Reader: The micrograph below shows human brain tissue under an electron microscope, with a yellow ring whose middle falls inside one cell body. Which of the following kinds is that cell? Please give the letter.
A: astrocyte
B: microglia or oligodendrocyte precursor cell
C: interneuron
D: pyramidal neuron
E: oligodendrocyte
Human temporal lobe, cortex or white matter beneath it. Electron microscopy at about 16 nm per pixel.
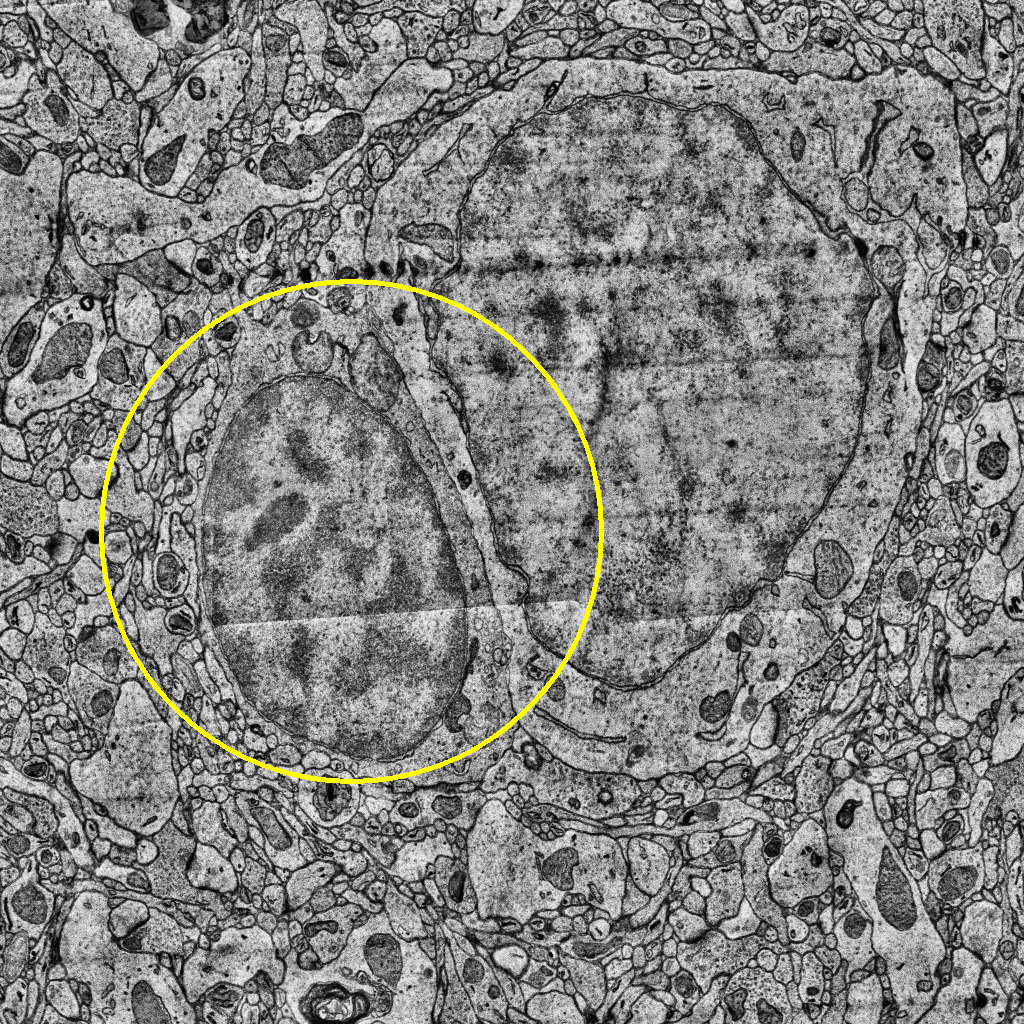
E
